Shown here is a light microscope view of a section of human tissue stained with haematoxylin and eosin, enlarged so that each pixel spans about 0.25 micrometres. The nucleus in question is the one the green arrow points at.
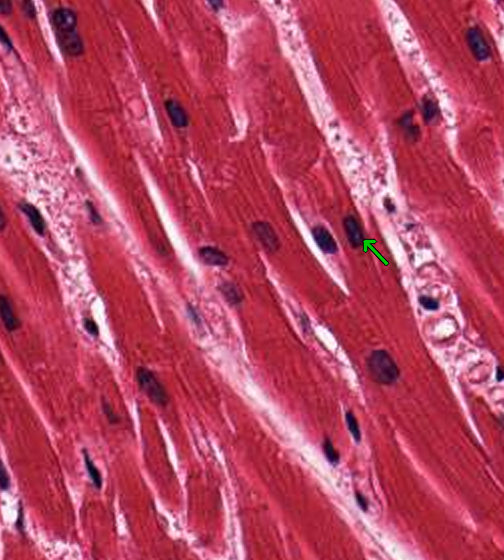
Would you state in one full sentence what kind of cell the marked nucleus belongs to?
A nucleus of a cardiomyocyte is the one that is marked.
